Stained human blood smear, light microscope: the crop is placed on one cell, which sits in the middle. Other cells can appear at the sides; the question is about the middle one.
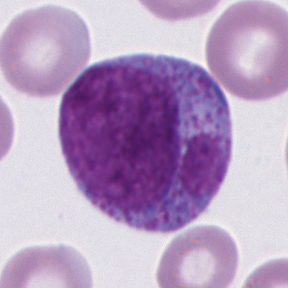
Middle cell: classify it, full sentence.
The cell shown in the center of this light-microscope crop is a promyelocyte.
